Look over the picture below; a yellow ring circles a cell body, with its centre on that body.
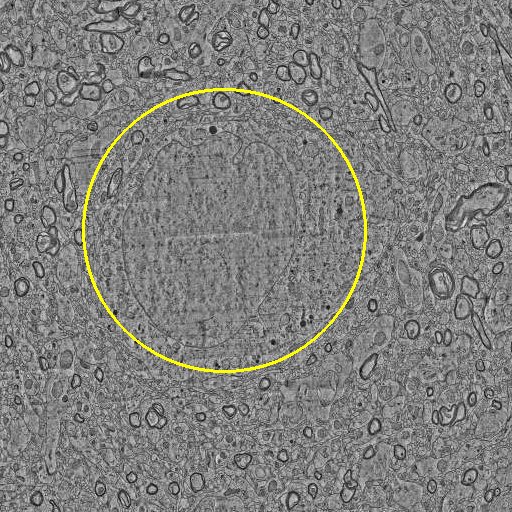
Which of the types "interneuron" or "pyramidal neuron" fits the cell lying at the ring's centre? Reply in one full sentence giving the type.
The picture shows a pyramidal neuron at the centre of the yellow ring.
